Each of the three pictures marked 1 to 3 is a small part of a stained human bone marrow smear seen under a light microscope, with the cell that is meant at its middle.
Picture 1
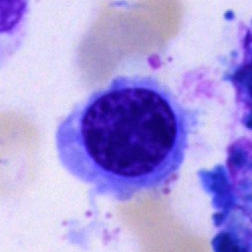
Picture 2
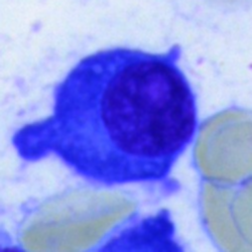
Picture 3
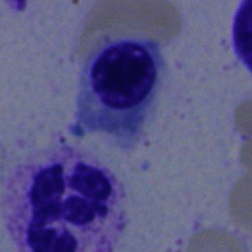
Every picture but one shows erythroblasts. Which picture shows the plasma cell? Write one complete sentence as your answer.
The cell in picture 2 is the plasma cell.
